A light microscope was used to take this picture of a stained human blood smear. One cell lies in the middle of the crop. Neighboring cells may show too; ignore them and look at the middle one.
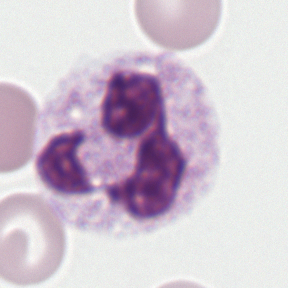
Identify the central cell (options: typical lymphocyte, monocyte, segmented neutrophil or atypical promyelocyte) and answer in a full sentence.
The identification for the central cell is a segmented neutrophil.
